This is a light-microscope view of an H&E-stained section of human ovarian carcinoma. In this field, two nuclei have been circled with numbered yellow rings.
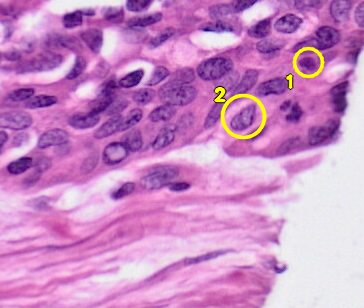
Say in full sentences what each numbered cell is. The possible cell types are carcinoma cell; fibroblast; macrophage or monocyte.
Cell 1 is a carcinoma cell. Cell 2 is a macrophage or monocyte.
